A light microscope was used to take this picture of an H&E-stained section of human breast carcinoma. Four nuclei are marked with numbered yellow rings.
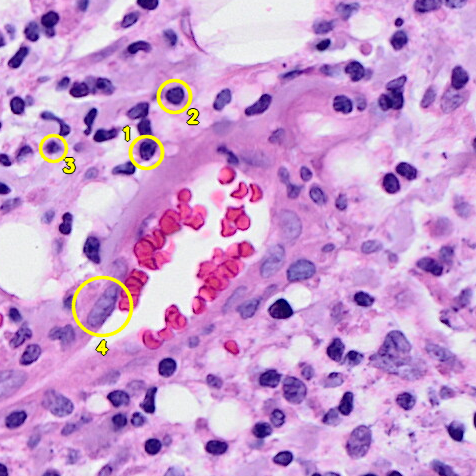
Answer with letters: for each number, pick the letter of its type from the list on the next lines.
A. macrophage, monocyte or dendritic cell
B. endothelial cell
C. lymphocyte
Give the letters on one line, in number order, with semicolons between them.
C; C; C; B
